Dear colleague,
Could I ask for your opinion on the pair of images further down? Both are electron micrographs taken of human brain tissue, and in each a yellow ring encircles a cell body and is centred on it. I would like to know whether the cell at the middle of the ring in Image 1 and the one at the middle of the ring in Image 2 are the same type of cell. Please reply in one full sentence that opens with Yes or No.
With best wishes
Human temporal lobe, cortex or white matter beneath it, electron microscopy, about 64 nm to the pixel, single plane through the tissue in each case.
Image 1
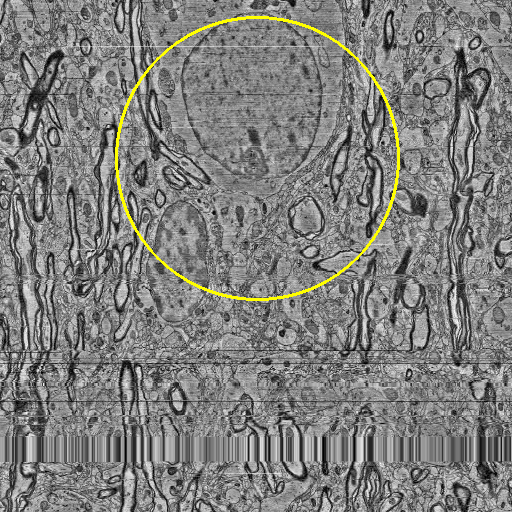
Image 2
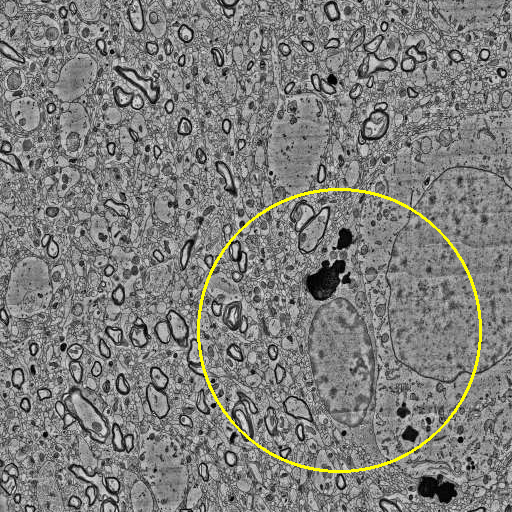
No, the cells at the ring centres in Image 1 and Image 2 are of two types.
